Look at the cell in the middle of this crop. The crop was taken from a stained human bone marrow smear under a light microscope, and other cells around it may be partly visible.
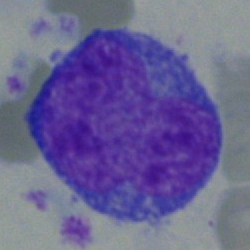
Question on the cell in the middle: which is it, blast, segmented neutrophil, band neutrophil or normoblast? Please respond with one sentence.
Occupying the centre of the crop is a blast.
